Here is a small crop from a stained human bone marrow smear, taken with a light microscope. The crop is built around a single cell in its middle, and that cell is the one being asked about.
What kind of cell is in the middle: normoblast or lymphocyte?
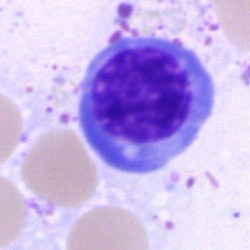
normoblast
